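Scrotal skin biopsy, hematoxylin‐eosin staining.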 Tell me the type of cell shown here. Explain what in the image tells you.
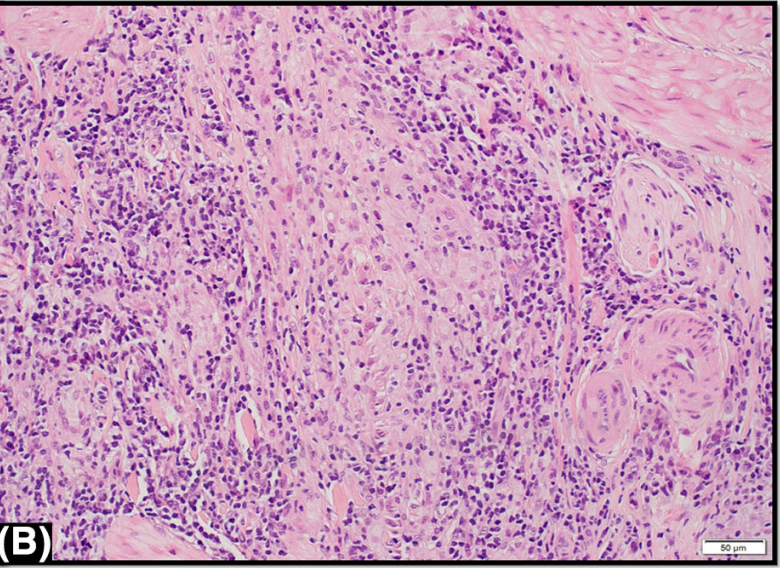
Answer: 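Lymphocytes and plasma cells. Many small cells with round dark-purple nuclei and scant cytoplasm. These small cells are densely packed around the paler cell clusters. Some small cells have eccentric nuclei with a rim of pink-purple cytoplasm.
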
